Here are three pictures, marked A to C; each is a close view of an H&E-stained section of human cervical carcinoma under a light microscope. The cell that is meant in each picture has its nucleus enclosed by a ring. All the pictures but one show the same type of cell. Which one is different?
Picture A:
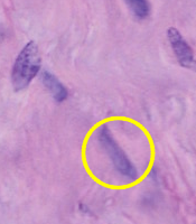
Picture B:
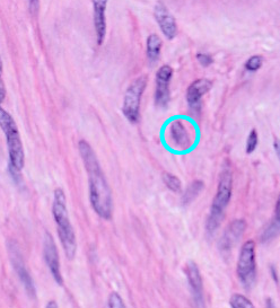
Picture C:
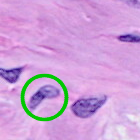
B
